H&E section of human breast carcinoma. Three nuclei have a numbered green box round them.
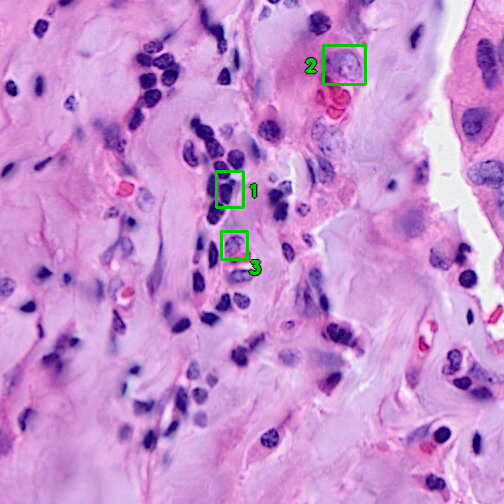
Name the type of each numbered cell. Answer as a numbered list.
1. lymphocyte
2. endothelial cell
3. endothelial cell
